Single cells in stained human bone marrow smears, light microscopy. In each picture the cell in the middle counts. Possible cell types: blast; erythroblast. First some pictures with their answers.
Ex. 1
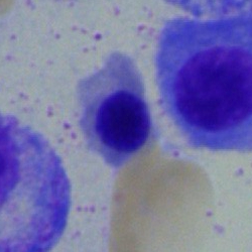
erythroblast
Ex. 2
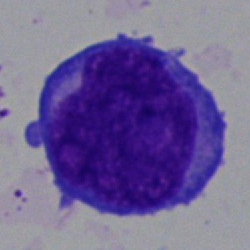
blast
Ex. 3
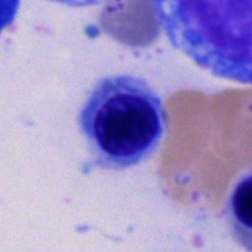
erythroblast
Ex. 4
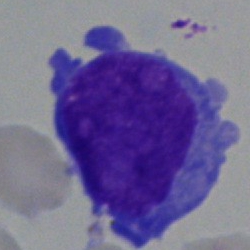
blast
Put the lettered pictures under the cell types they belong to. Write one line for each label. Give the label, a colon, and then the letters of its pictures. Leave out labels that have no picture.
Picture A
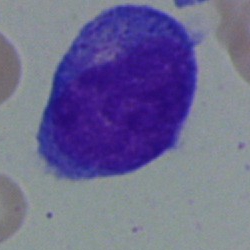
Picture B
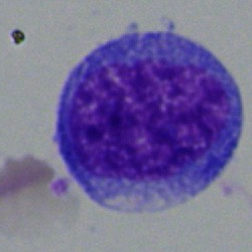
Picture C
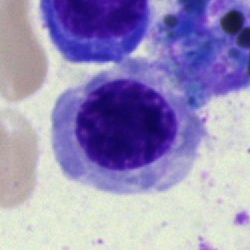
blast: A, B
erythroblast: C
